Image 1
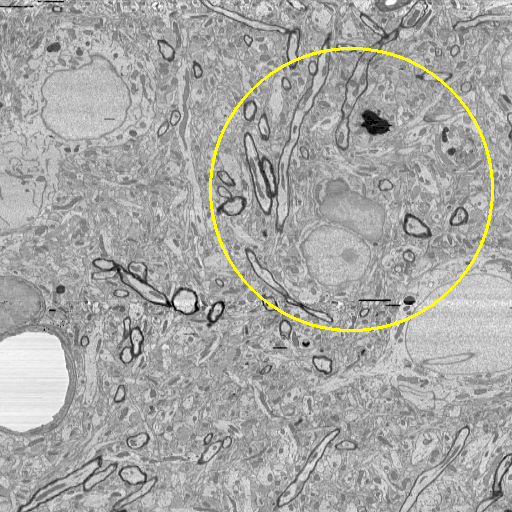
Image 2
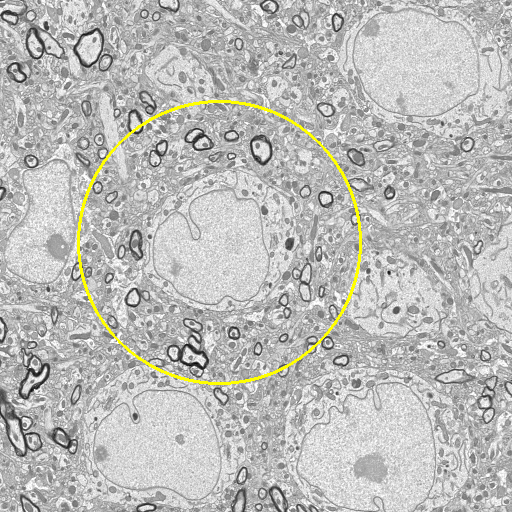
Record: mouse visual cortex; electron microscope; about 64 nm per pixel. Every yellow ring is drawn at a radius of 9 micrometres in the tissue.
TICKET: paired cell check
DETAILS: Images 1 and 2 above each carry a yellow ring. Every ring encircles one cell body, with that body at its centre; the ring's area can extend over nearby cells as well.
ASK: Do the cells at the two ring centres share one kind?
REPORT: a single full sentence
No, the ring-centre cells of Images 1 and 2 belong to two kinds.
